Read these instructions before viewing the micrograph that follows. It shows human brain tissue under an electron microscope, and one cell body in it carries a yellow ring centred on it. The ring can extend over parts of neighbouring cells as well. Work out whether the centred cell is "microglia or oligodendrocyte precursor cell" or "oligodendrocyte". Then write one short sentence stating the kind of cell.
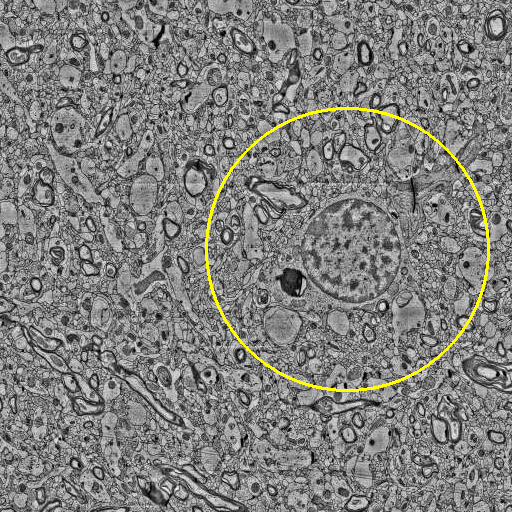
The ringed cell is an oligodendrocyte.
